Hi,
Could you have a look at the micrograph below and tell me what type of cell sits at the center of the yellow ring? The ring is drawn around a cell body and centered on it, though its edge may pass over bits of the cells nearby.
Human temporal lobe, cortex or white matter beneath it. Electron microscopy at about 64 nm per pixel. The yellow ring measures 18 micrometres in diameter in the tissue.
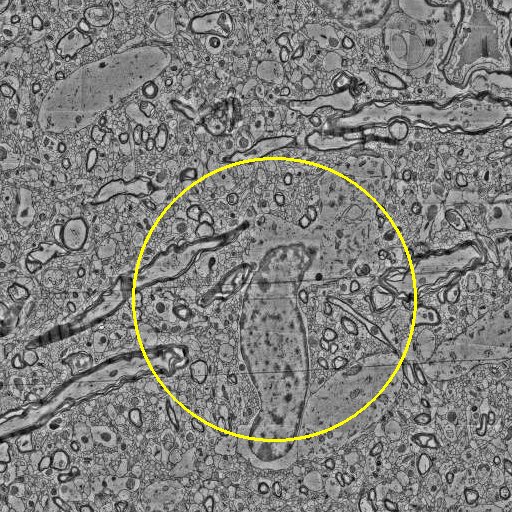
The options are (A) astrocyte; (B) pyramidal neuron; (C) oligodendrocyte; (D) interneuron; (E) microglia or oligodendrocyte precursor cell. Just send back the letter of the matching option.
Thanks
E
